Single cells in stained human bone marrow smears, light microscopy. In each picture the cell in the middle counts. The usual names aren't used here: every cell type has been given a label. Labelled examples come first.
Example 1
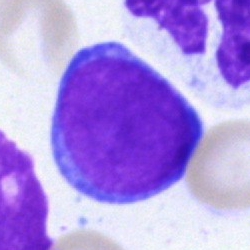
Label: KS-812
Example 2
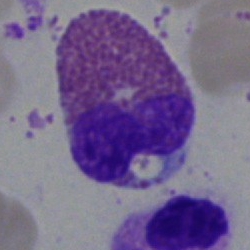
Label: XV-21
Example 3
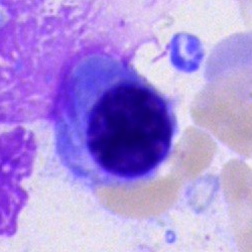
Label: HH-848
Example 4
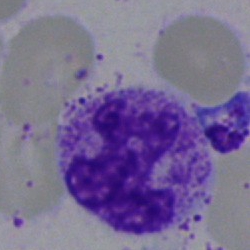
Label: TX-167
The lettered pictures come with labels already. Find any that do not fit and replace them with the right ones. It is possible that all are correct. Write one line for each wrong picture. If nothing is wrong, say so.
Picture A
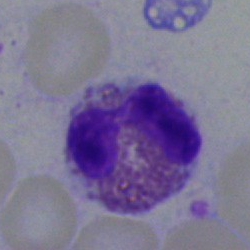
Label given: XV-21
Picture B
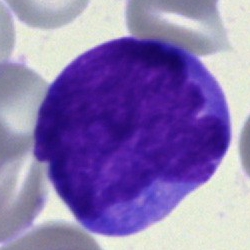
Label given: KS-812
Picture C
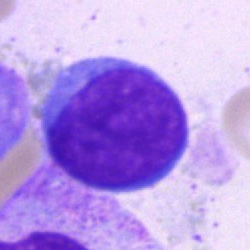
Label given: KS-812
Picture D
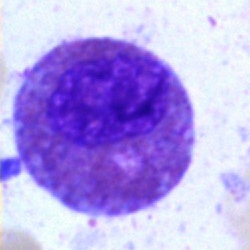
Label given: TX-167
D should be XV-21, not TX-167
